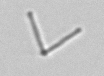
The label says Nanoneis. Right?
Right.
